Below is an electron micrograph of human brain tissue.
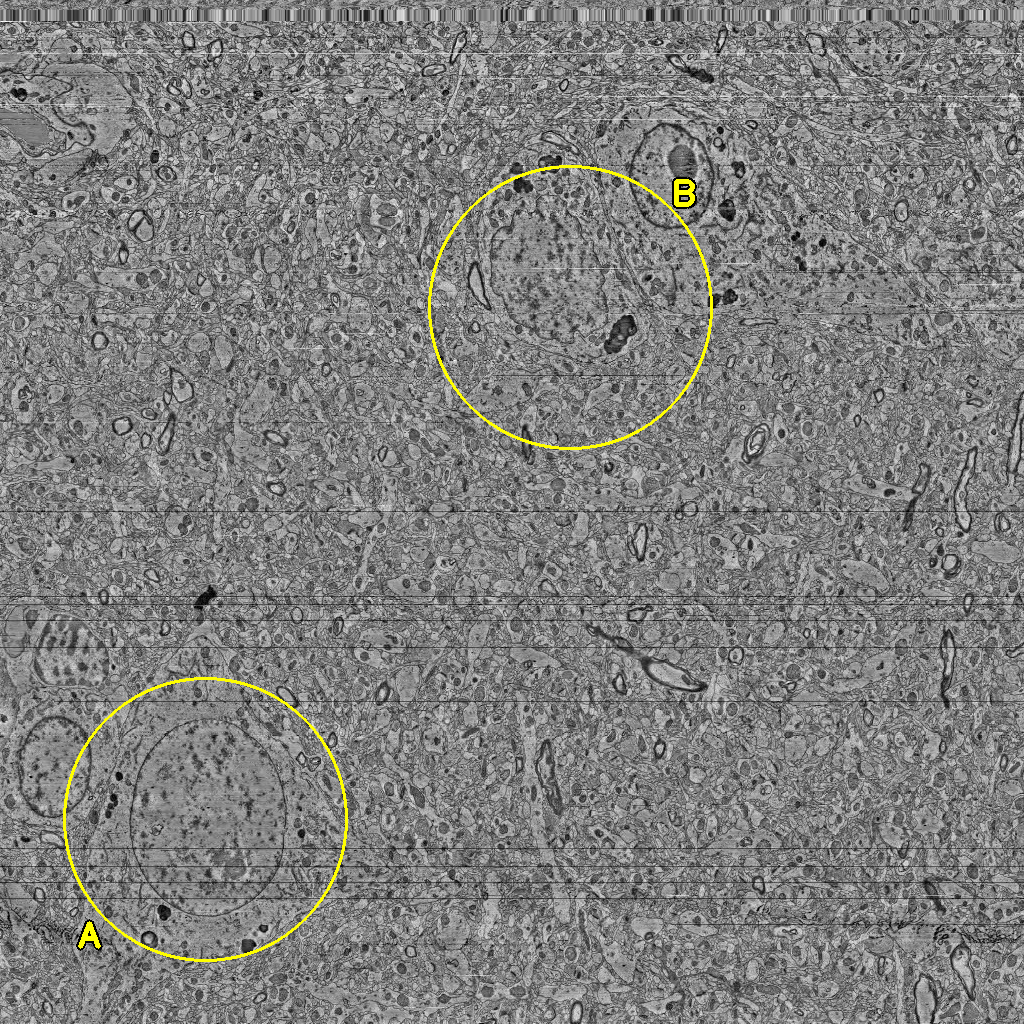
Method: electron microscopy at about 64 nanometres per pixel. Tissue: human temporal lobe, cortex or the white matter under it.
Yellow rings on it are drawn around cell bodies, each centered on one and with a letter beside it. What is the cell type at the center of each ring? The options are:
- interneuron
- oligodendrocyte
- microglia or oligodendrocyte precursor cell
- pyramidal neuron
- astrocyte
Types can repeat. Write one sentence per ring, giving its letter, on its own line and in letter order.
At the center of ring A is a pyramidal neuron.
At the center of ring B is an interneuron.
